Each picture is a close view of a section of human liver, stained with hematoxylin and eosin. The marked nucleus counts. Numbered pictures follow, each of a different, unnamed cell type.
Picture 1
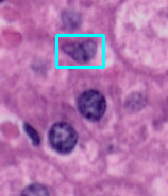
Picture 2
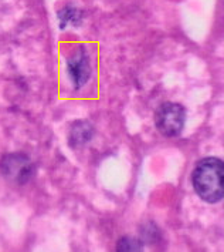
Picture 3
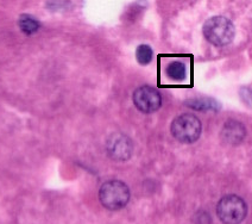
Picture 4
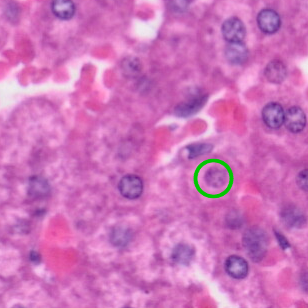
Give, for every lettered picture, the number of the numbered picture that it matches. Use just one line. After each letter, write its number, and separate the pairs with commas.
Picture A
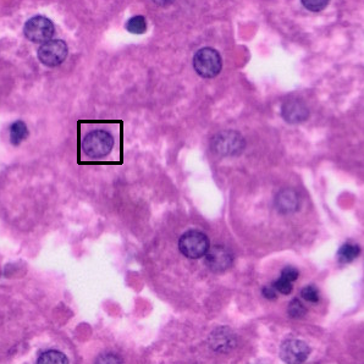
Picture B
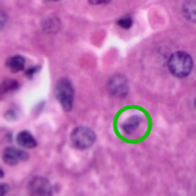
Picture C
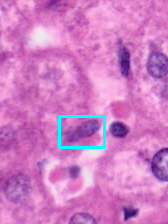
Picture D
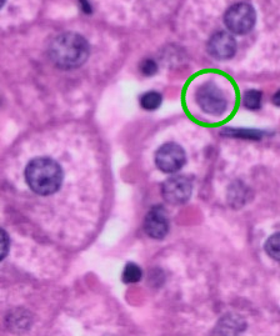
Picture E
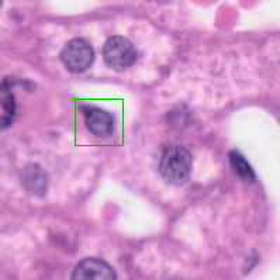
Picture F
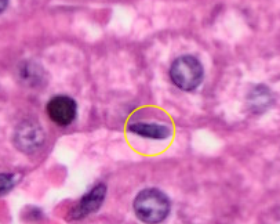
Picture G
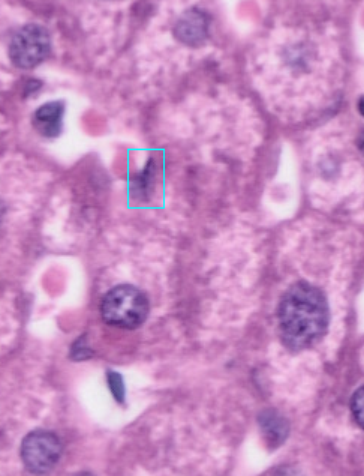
A 4, B 2, C 1, D 1, E 1, F 2, G 2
